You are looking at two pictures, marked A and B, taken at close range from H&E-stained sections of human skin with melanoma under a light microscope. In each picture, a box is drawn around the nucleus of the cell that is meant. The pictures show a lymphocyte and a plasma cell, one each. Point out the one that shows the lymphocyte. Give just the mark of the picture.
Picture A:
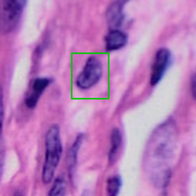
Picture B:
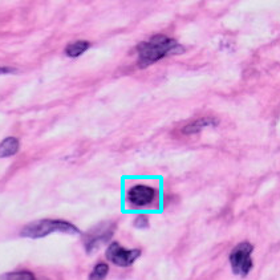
A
